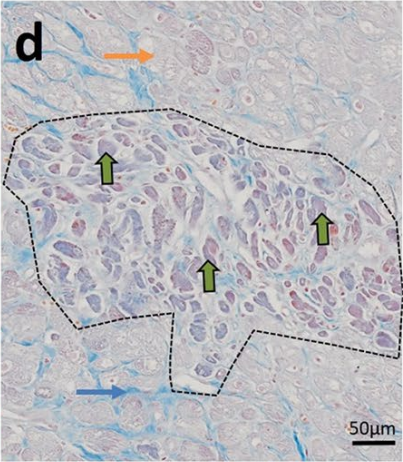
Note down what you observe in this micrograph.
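Heart muscle cells cut in cross-section lie in pale tissue with thin blue connective strands between them. In an outlined region the muscle cells are much smaller, shrunken and irregular, stain purplish and are separated by wide pale gaps. These are atrophic cardiomyocytes.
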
